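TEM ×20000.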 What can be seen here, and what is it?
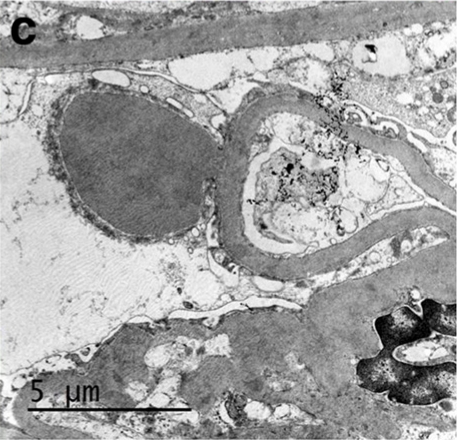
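A glomerular capillary loop with a thick, even basement membrane curving around a lumen that holds granular debris; against the outer side of the wall sits a large oval, finely textured, electron-dense mass that bulges outward and is rimmed by thin cell cytoplasm. This is a hump-shaped subepithelial deposit.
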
